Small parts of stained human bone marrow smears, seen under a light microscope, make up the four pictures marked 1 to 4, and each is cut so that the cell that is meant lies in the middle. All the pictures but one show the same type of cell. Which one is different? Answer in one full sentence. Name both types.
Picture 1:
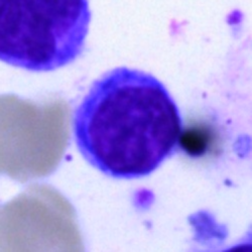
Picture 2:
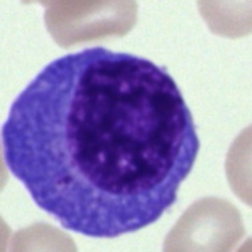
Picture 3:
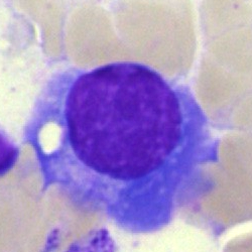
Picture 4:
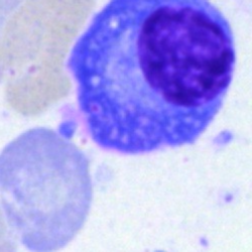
All pictures except 1 show plasma cells; picture 1 shows a lymphocyte.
